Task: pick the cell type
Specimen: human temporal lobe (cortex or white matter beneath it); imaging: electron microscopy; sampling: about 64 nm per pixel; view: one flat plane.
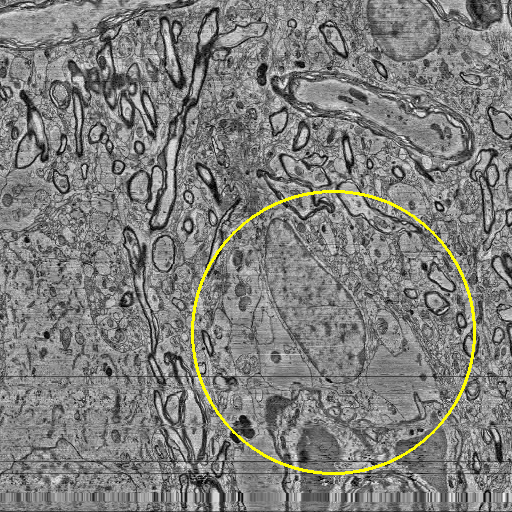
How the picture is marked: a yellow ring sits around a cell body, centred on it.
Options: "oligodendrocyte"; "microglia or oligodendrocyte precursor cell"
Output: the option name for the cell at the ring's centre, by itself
microglia or oligodendrocyte precursor cell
